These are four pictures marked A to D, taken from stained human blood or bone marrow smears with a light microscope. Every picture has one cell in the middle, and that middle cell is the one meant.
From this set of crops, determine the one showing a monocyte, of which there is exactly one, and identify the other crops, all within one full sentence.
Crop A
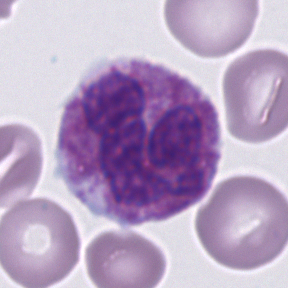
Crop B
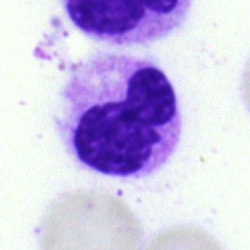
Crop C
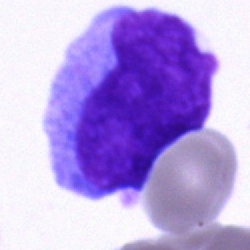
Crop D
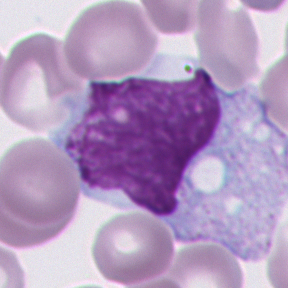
Regarding crop D, it shows a monocyte, while crop A is an eosinophil, crop B is a band neutrophil and crop C is a blast.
